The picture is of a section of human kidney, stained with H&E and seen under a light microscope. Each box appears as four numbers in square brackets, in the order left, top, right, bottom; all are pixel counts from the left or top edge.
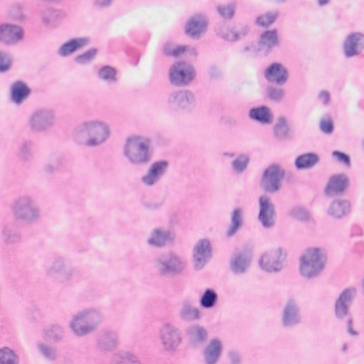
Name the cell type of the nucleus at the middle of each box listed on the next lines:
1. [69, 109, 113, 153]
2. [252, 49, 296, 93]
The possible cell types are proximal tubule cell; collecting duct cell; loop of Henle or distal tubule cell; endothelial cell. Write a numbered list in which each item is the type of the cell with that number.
1. proximal tubule cell
2. collecting duct cell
